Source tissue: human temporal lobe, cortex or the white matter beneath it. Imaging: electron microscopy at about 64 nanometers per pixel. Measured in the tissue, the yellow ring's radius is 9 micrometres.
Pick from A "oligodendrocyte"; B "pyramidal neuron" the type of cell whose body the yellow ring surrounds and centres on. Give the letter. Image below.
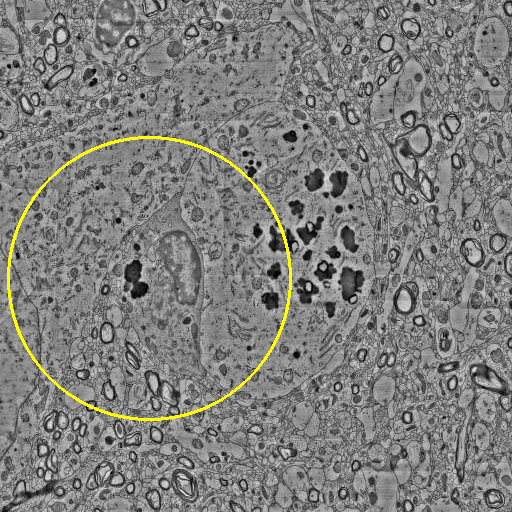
A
